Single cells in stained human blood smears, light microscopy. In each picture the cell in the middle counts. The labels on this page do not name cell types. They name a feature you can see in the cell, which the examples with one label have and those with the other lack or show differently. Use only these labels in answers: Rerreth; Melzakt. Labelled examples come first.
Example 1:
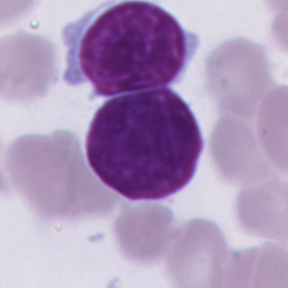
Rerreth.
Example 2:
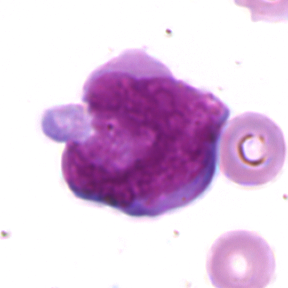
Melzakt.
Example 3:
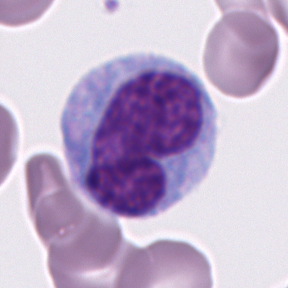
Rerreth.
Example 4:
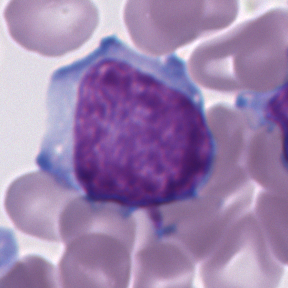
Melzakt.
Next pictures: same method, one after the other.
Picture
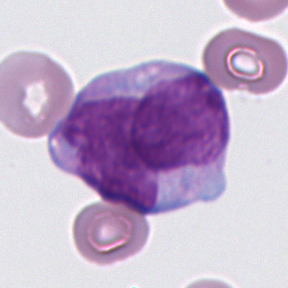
Melzakt.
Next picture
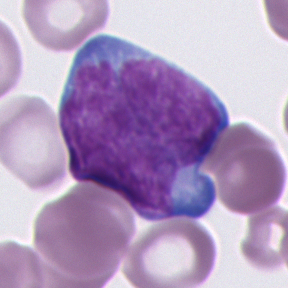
Melzakt.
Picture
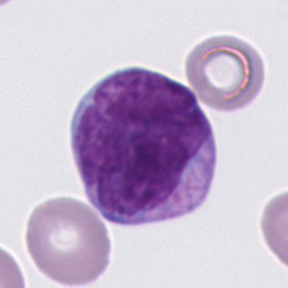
Rerreth.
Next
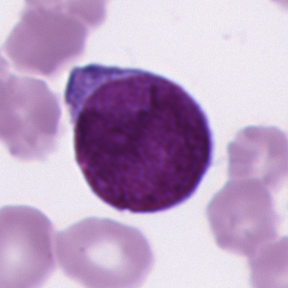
Rerreth.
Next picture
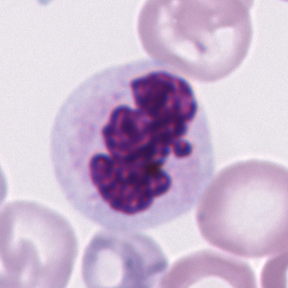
Rerreth.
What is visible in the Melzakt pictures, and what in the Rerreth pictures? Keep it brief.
Melzakt, ragged outline or projections; Rerreth, smooth outline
